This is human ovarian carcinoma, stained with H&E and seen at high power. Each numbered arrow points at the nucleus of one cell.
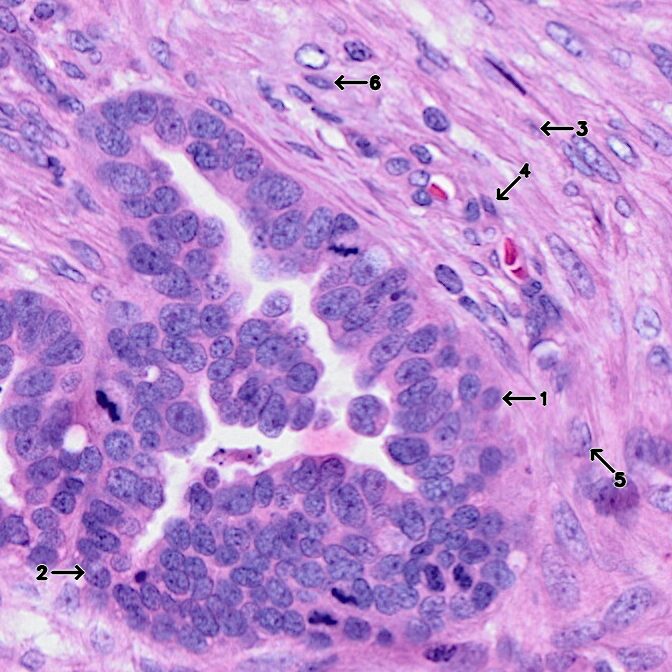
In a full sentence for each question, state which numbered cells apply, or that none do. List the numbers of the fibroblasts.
Cells numbered 3, 4, 5 and 6 belong to the group of fibroblasts.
